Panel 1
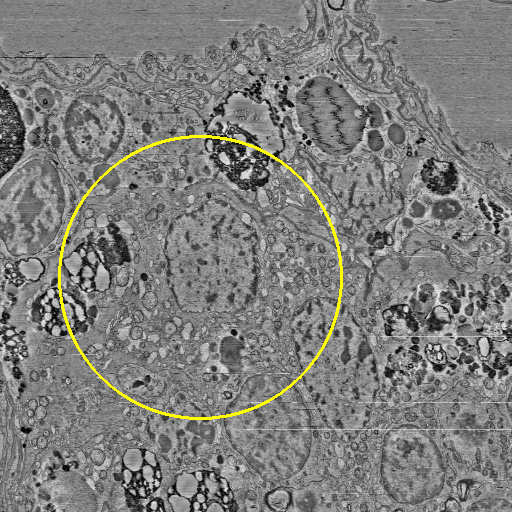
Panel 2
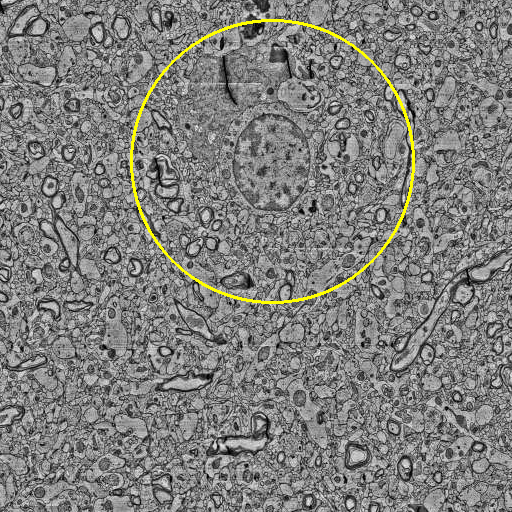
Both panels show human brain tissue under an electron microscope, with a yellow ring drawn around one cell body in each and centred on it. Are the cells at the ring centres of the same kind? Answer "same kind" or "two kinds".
two kinds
